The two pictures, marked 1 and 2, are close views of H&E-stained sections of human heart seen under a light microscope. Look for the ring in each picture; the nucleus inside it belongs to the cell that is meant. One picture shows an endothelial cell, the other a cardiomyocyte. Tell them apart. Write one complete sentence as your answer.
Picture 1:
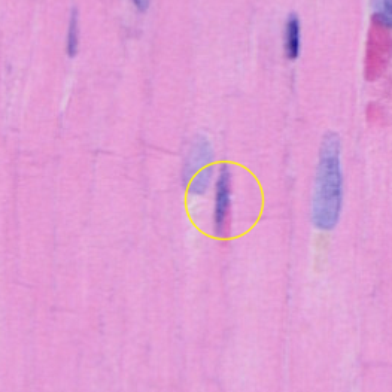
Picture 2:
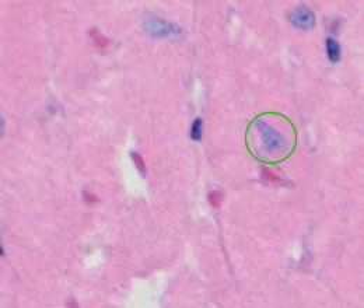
The cell in picture 1 is an endothelial cell, and the one in picture 2 is a cardiomyocyte.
